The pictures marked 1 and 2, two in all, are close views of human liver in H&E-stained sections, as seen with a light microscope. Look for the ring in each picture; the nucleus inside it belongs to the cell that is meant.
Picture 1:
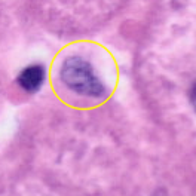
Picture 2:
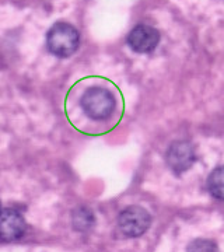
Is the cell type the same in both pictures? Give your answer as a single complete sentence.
No, picture 1 shows a Kupffer cell and picture 2 shows a hepatocyte.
